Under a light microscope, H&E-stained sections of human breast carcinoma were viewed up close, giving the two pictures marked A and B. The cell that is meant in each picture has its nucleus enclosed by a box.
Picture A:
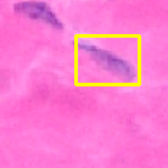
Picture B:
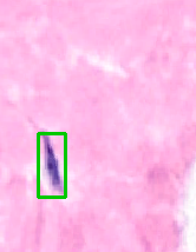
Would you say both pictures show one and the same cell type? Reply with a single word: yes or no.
yes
